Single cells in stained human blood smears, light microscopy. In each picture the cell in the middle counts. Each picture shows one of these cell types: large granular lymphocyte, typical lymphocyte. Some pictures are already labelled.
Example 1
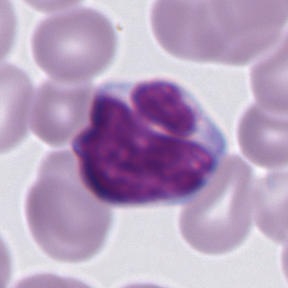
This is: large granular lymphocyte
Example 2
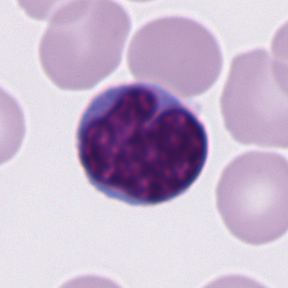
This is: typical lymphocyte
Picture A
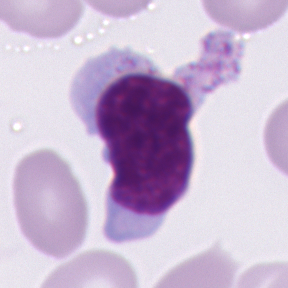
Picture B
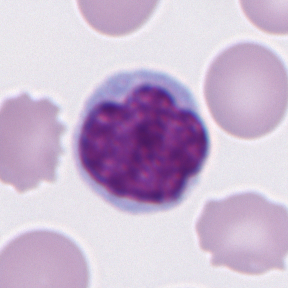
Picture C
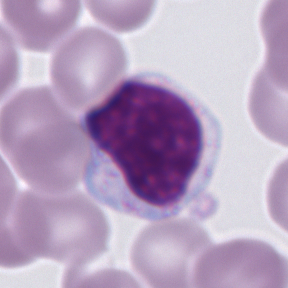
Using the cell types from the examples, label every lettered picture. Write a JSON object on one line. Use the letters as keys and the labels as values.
{"A": "large granular lymphocyte", "B": "typical lymphocyte", "C": "large granular lymphocyte"}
